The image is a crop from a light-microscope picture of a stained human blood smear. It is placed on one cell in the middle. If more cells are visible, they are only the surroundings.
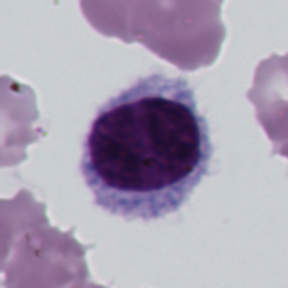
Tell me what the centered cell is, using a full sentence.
The cell featured at the centre of this crop is a hairy cell.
